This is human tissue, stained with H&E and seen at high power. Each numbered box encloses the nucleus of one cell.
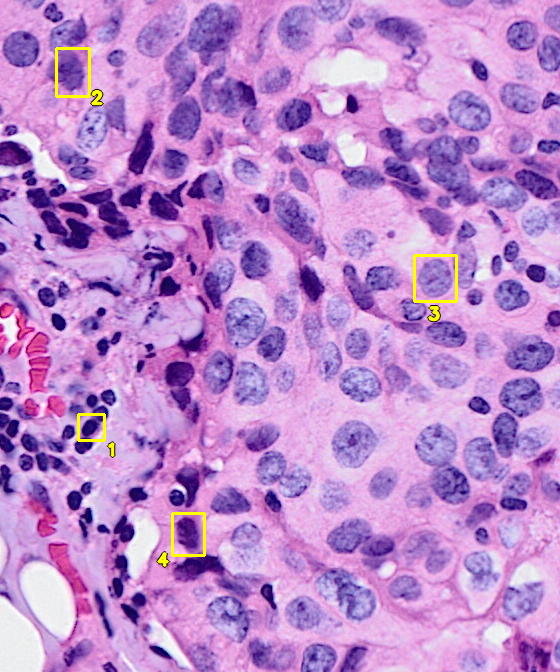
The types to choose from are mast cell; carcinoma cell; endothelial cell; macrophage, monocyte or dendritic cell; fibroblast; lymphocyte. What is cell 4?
carcinoma cell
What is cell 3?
carcinoma cell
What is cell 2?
carcinoma cell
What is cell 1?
lymphocyte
